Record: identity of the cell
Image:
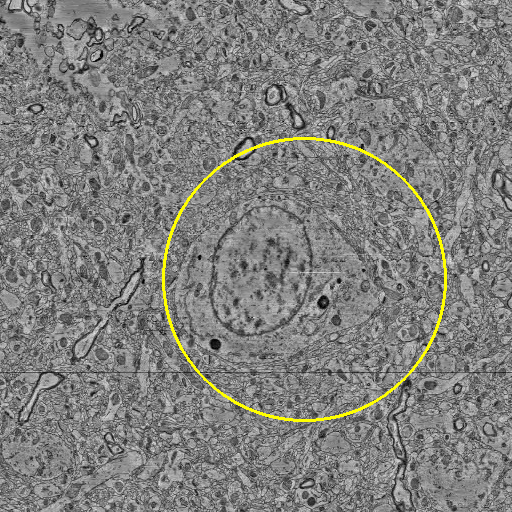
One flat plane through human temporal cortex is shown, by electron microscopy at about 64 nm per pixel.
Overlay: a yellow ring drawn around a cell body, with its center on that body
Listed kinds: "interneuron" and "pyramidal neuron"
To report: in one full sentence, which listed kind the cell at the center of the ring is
In the image, the cell body at the ring's center belongs to a pyramidal neuron.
